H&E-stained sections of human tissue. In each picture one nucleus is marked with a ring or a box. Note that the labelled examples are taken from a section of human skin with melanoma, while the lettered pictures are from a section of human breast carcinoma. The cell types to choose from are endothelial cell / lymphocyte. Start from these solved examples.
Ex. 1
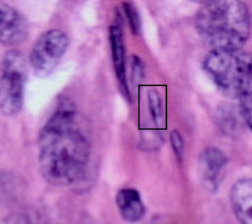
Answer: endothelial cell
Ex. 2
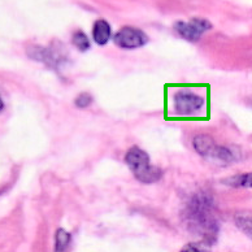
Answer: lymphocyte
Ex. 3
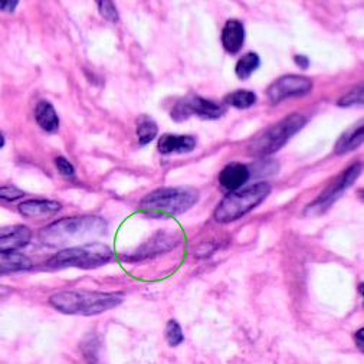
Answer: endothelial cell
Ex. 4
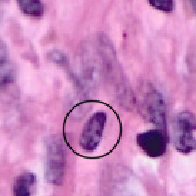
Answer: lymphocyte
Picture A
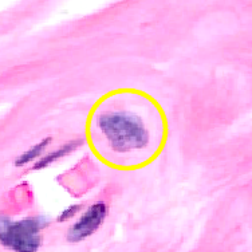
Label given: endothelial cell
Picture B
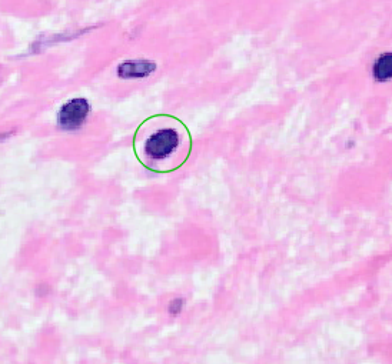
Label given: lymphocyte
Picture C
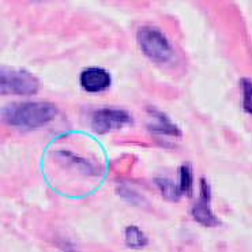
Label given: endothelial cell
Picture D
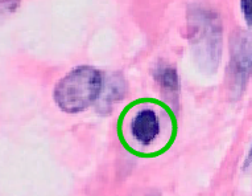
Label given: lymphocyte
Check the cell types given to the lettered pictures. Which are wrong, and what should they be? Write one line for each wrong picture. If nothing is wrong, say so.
Every label is right.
